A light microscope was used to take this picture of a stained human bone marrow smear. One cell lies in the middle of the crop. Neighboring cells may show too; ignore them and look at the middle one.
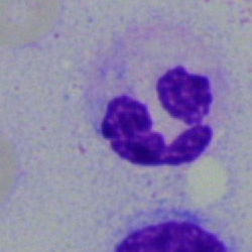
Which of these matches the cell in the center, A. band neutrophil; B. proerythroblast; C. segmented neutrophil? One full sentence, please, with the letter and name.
That the central cell is a segmented neutrophil makes option C correct.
